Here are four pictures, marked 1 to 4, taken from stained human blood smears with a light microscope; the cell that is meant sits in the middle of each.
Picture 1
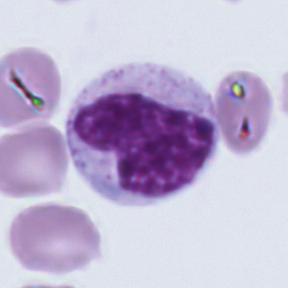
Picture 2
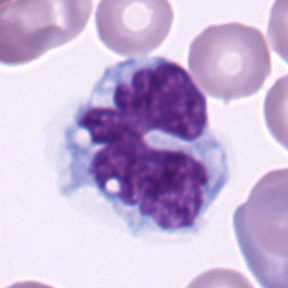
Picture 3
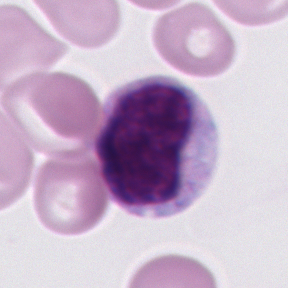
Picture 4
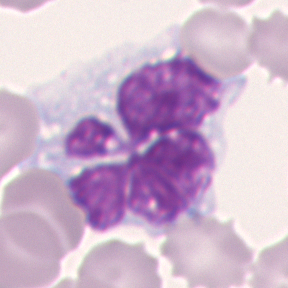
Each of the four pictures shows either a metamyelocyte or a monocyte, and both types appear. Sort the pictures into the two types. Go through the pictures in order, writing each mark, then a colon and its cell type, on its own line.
1: metamyelocyte
2: monocyte
3: metamyelocyte
4: monocyte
